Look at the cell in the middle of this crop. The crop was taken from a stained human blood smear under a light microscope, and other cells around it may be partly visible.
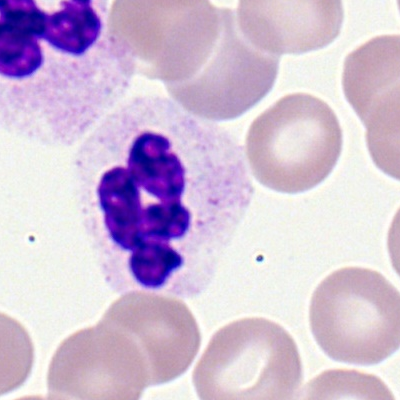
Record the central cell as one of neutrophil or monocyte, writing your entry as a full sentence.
The cell occupying the middle of the crop is a neutrophil.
